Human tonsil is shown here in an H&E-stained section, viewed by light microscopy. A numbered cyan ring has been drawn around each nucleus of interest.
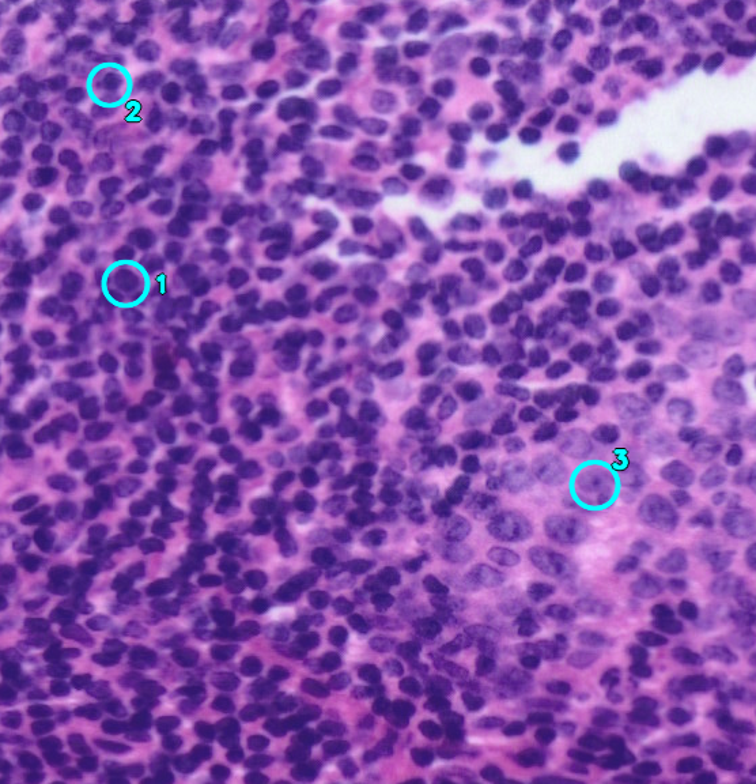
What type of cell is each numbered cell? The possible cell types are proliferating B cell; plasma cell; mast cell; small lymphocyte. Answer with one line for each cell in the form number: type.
1: small lymphocyte
2: small lymphocyte
3: proliferating B cell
